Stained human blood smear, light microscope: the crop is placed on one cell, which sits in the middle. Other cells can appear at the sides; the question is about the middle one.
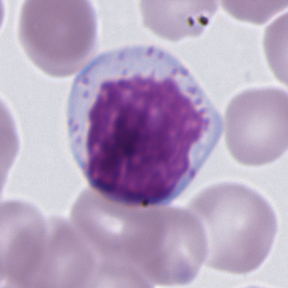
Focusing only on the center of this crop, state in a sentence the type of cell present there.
The identification for the central cell is a large granular lymphocyte.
